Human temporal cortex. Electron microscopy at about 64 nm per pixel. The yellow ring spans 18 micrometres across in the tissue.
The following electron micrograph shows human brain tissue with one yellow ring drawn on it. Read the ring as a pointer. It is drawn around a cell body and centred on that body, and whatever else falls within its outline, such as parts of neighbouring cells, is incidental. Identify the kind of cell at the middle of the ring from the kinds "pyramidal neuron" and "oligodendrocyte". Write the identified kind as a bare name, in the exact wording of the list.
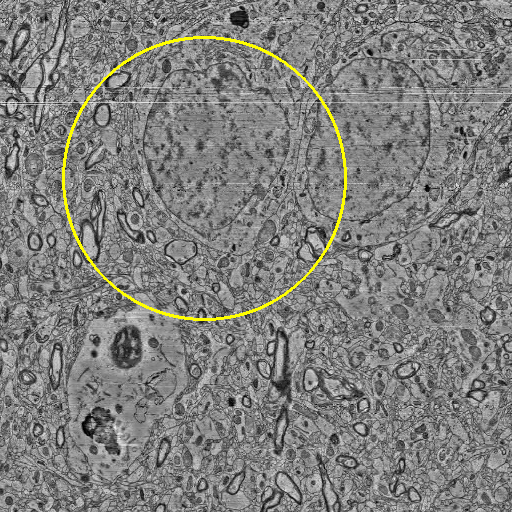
pyramidal neuron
